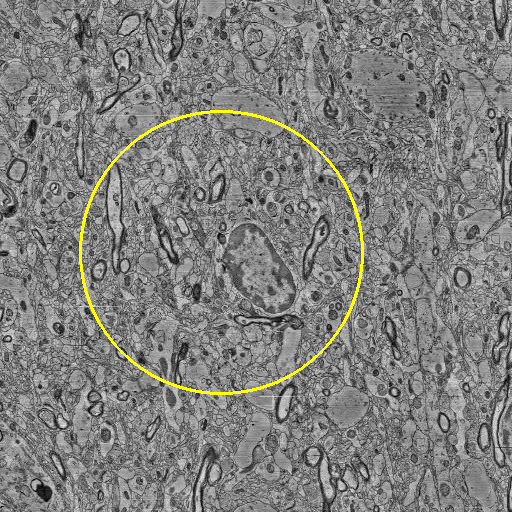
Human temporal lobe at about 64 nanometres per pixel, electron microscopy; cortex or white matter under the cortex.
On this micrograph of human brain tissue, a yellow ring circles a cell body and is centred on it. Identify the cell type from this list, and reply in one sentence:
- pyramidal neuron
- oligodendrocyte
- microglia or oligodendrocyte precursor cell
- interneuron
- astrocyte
The cell at the centre is a microglial cell or oligodendrocyte precursor cell.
